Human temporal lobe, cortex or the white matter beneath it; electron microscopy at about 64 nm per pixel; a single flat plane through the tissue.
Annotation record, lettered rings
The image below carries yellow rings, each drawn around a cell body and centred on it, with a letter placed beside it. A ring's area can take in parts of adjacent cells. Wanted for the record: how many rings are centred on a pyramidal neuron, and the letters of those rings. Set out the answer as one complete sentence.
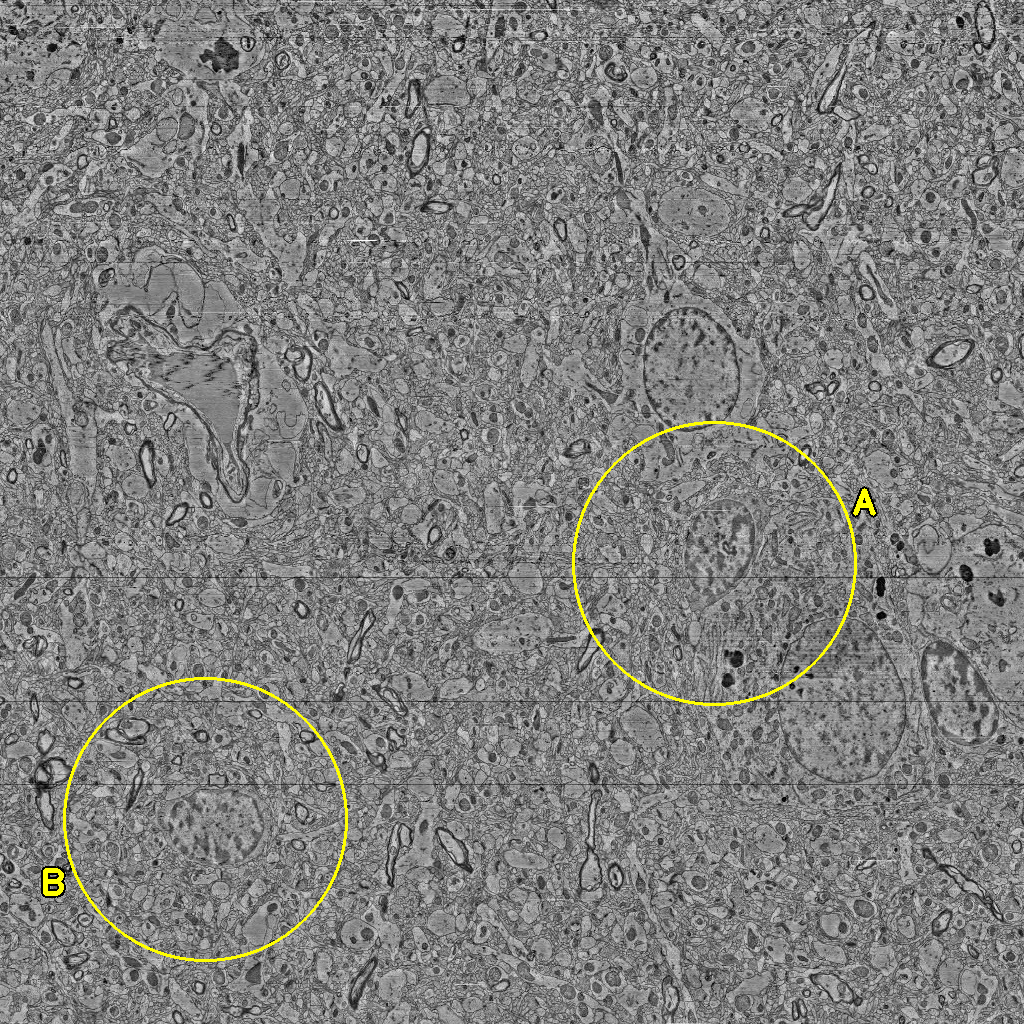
Zero rings, of all those lettered in the micrograph, are centred on a pyramidal neuron.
